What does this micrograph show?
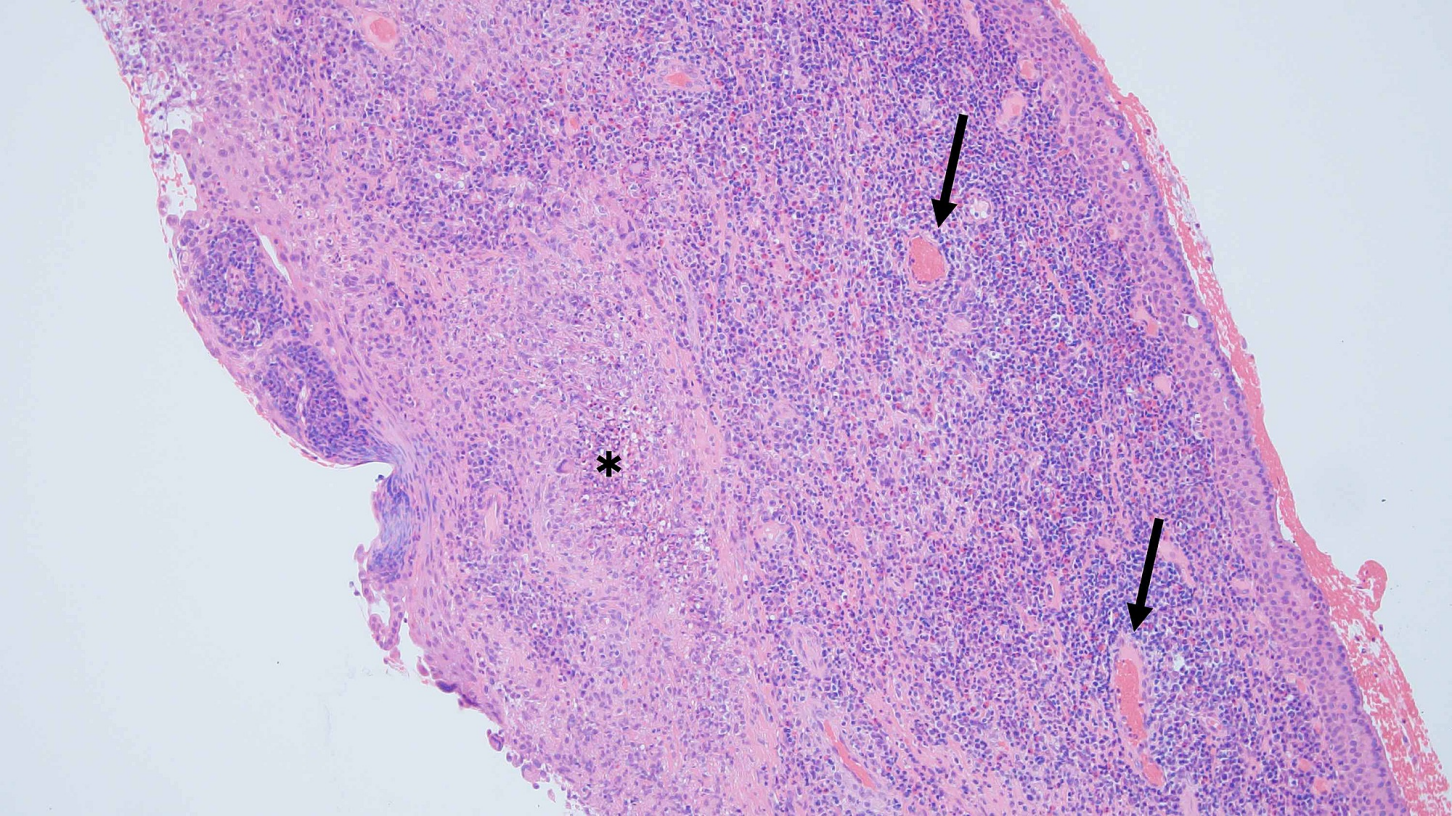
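This mucosa is covered by stratified squamous epithelium along its right edge, and its stroma is heavily infiltrated by inflammatory cells, mostly small dark round cells. Small vessels filled with pink red blood cells are surrounded by dense cuffs of these cells. Toward the center lies a paler zone of larger, pale-staining cells, consistent with a granuloma.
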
